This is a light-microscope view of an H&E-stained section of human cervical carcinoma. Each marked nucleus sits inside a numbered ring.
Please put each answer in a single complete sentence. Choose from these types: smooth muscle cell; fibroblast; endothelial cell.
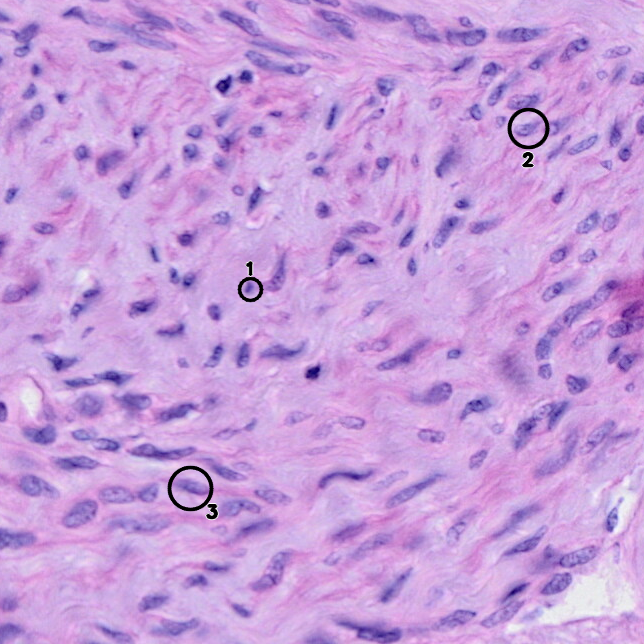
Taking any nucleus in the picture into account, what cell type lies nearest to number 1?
Number 1 lies closest to the nucleus of a smooth muscle cell.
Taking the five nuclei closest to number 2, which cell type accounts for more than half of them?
Around number 2, most of the five nearest nuclei are those of smooth muscle cells.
